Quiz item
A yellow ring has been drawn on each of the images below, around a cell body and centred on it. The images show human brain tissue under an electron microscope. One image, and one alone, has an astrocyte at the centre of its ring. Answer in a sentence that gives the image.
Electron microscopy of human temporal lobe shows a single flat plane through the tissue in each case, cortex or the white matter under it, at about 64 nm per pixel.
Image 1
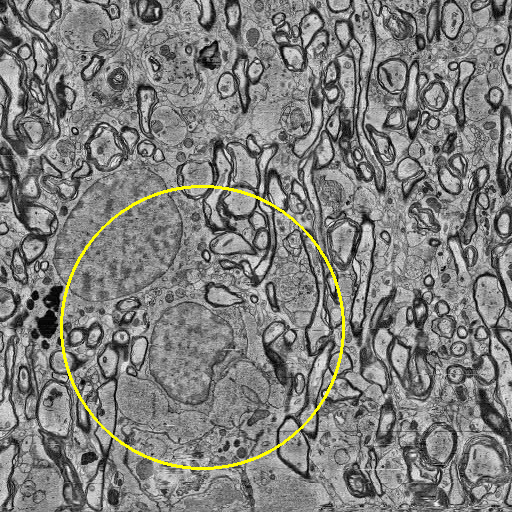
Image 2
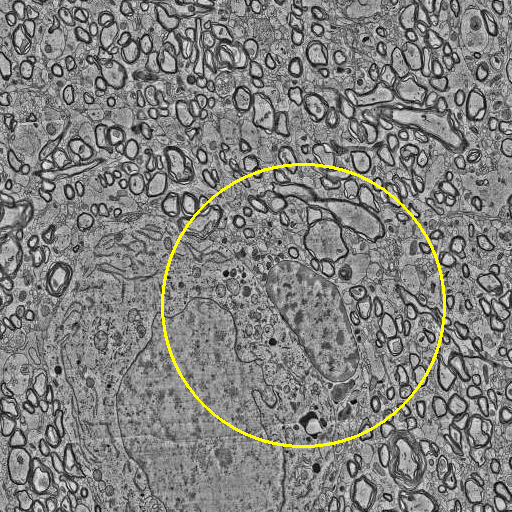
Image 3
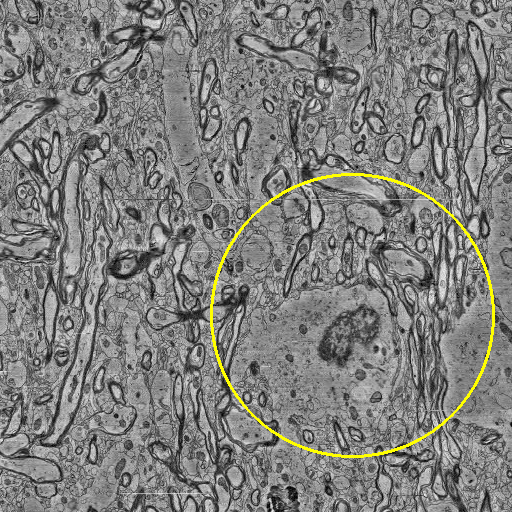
Image 3 shows it at the centre of the ring.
